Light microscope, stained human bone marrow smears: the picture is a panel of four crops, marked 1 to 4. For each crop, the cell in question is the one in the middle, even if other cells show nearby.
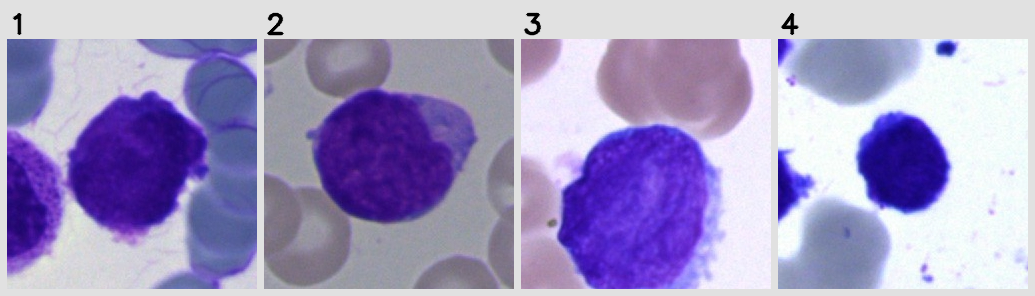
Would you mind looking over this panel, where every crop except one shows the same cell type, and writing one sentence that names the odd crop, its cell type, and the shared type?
The crops all show blasts, with the exception of crop 4, which shows a lymphocyte.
